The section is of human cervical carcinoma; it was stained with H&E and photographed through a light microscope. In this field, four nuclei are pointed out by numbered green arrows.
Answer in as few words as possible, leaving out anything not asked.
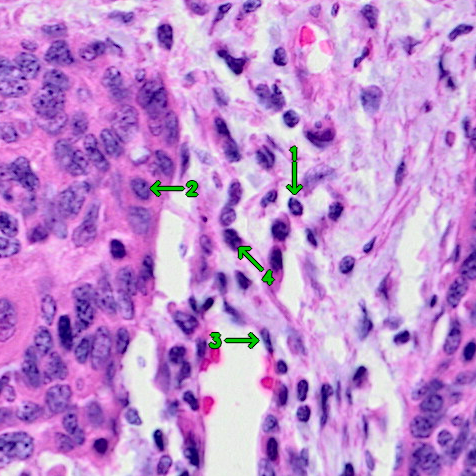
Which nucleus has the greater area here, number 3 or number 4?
4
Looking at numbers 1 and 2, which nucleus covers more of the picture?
2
